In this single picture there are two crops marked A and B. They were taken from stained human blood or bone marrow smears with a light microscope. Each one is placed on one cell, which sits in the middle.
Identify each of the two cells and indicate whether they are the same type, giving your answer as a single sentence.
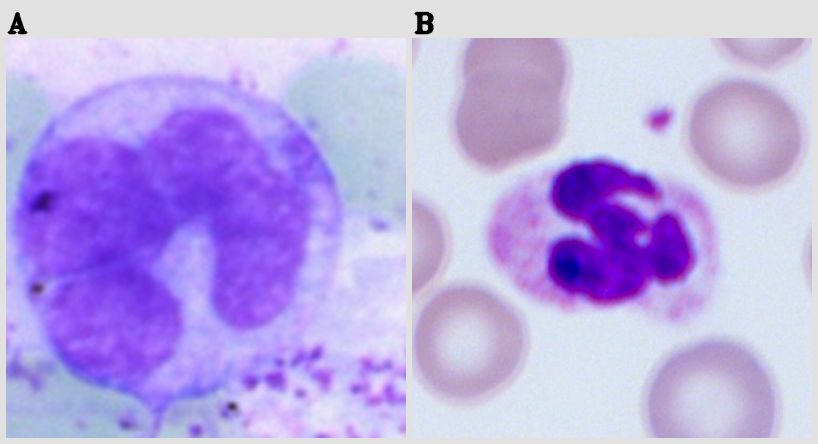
No, a monocyte is centred in crop A, and a segmented neutrophil is centred in crop B.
